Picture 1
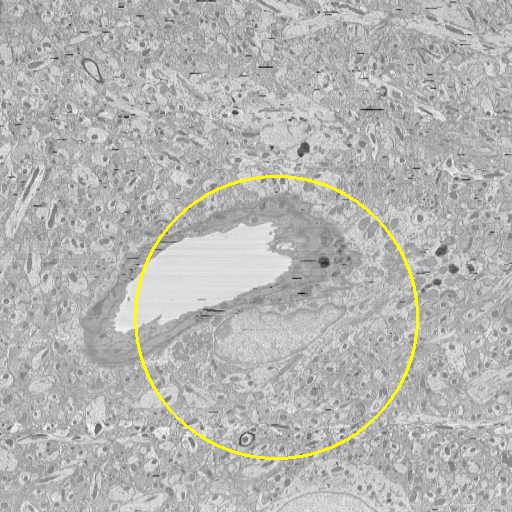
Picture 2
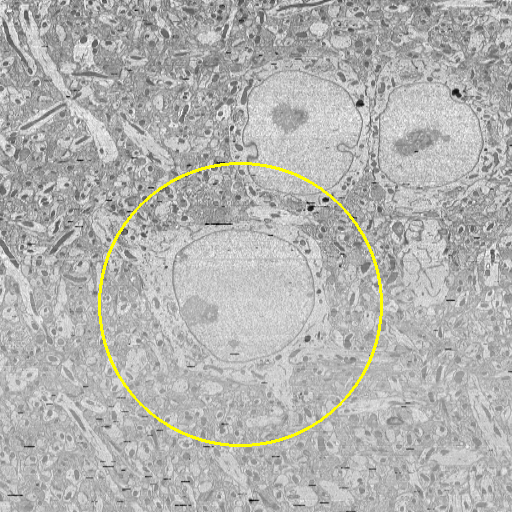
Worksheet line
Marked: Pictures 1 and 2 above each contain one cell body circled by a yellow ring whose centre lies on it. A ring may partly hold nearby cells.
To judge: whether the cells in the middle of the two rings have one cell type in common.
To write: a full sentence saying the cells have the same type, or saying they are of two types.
The cells in the middle of the rings in Picture 1 and Picture 2 are of two types.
